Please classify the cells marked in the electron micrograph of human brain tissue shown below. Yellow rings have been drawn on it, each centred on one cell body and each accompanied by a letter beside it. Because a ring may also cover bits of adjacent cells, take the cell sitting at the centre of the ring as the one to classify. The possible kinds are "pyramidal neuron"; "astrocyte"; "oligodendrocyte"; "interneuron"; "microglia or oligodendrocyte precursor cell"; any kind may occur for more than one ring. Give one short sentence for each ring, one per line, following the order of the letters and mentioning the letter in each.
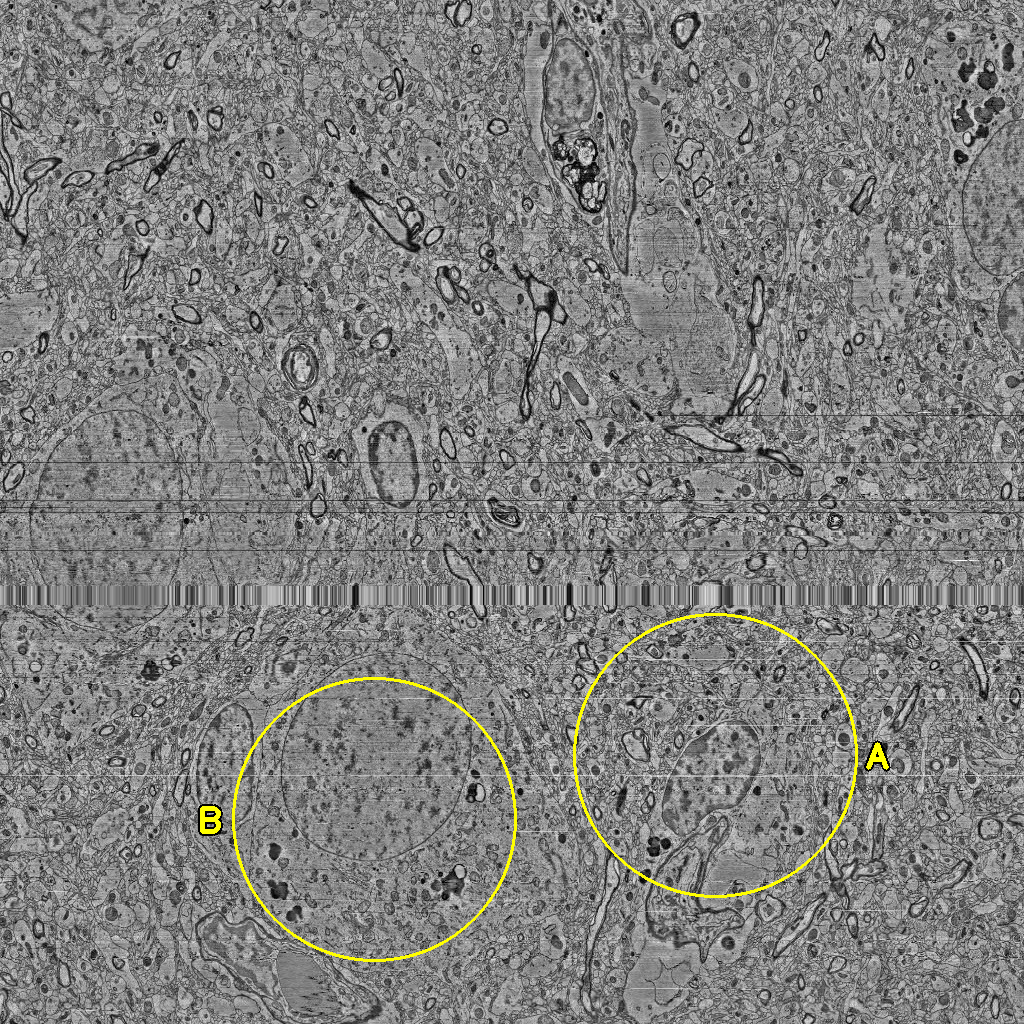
Ring A marks the cell body of a microglial cell or oligodendrocyte precursor cell.
Ring B marks the cell body of a pyramidal neuron.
